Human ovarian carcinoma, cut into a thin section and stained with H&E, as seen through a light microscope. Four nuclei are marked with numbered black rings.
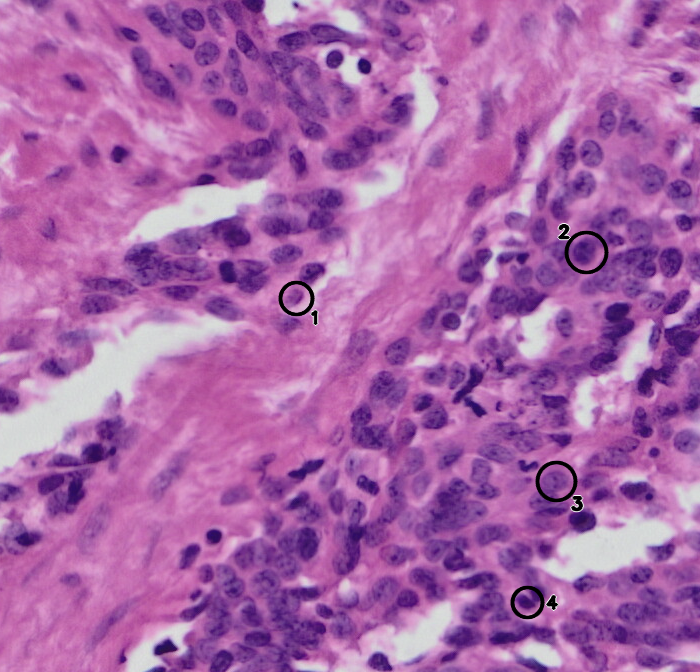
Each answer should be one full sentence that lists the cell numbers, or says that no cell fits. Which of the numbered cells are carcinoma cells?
The cells marked with the numbers 2, 3 and 4 are carcinoma cells.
